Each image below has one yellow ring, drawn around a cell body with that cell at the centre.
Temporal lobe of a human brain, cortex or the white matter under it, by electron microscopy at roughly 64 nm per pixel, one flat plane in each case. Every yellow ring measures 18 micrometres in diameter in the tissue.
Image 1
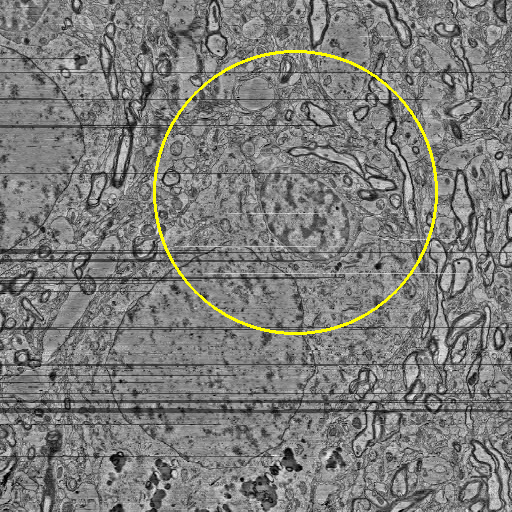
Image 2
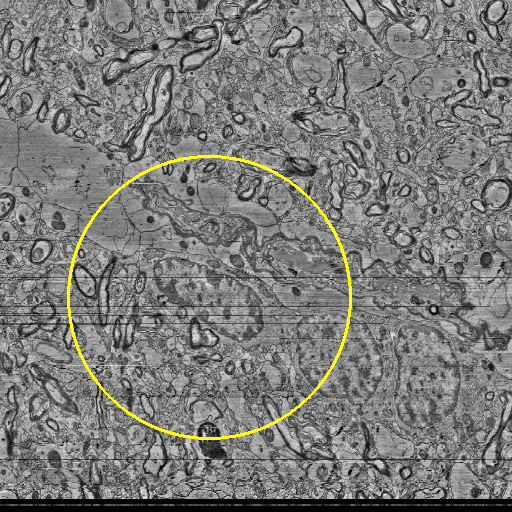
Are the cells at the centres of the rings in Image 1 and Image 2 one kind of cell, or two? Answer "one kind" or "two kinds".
one kind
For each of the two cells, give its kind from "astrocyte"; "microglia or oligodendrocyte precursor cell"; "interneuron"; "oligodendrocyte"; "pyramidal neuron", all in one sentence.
In the first picture and in the second, the ring is centred on an oligodendrocyte.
